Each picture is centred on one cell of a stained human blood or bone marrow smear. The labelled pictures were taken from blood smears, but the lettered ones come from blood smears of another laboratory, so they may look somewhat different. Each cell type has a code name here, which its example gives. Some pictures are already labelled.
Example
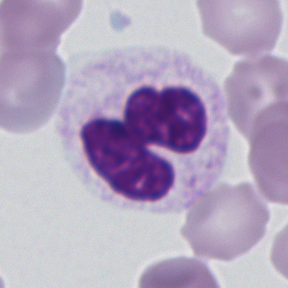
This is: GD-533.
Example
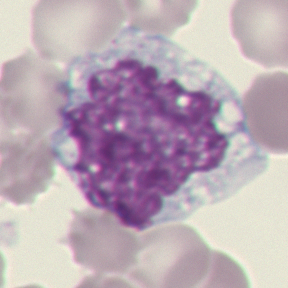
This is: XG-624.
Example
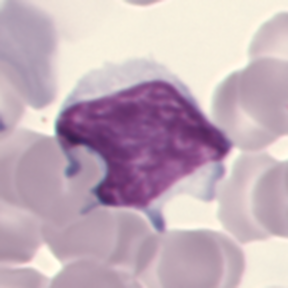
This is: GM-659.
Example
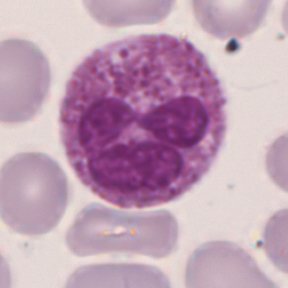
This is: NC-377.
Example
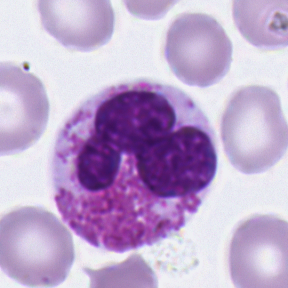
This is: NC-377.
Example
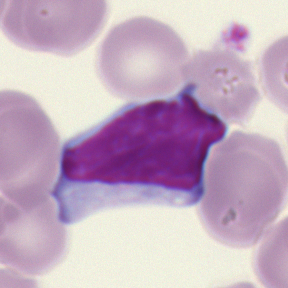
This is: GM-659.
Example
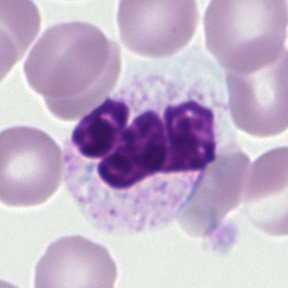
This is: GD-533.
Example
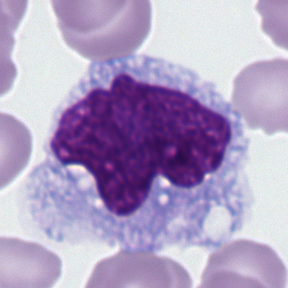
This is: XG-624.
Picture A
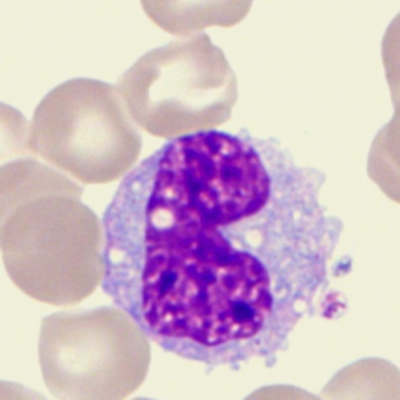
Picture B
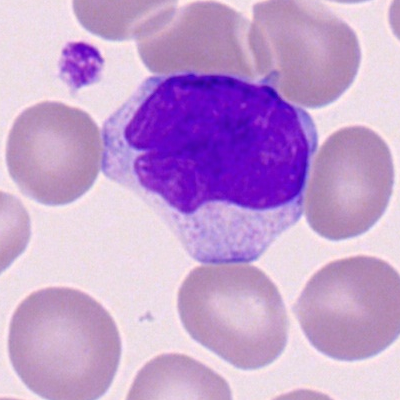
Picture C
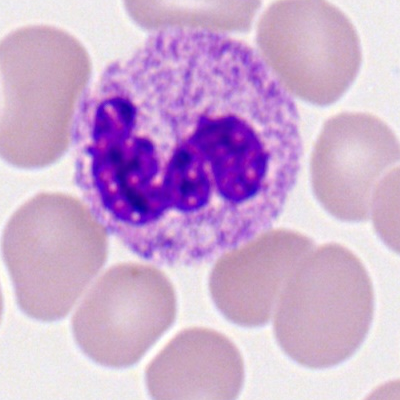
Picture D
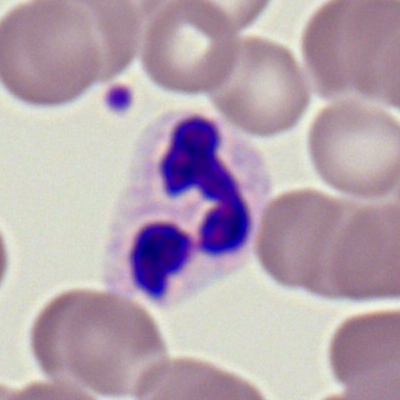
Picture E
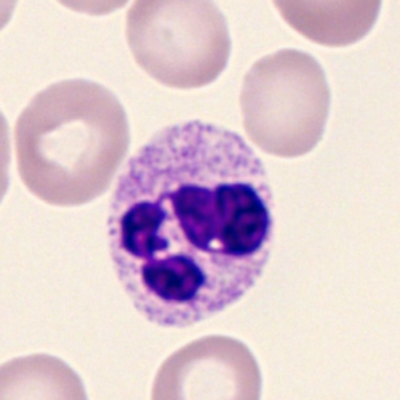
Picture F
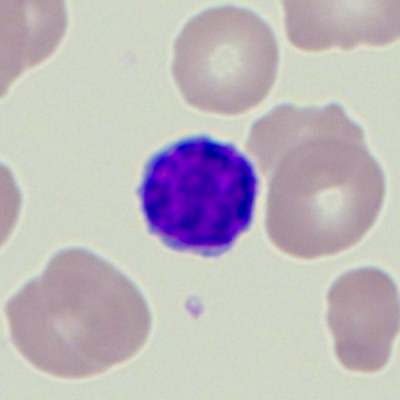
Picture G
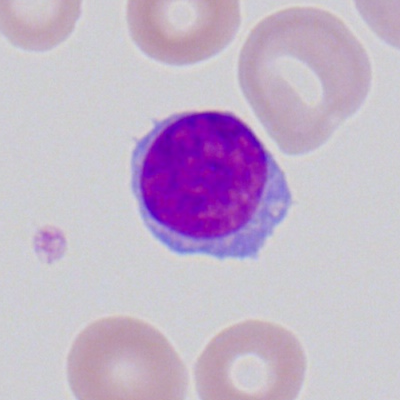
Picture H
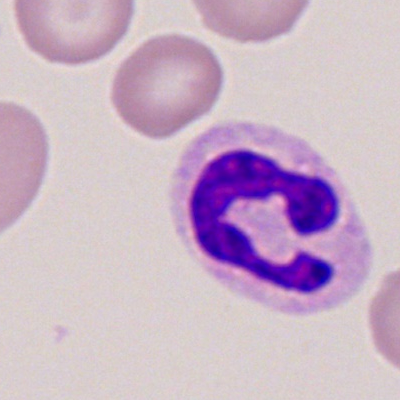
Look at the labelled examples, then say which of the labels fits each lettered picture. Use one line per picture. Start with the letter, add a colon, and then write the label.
A: XG-624.
B: GM-659.
C: GD-533.
D: GD-533.
E: GD-533.
F: GM-659.
G: GM-659.
H: GD-533.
